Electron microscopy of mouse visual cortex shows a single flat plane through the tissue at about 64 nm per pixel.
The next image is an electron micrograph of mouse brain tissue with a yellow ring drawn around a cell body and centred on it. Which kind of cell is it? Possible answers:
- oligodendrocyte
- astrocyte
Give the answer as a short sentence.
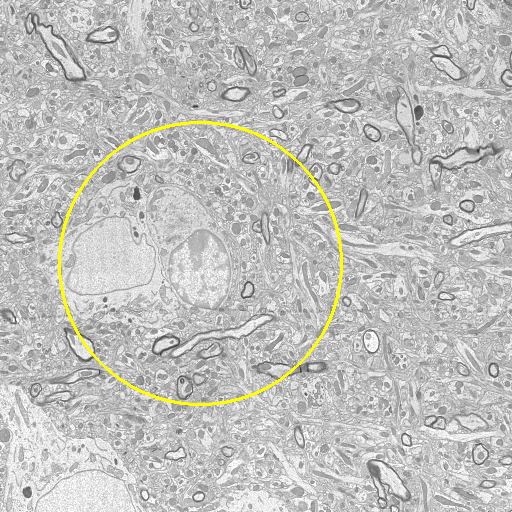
In the ring's centre is an oligodendrocyte.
